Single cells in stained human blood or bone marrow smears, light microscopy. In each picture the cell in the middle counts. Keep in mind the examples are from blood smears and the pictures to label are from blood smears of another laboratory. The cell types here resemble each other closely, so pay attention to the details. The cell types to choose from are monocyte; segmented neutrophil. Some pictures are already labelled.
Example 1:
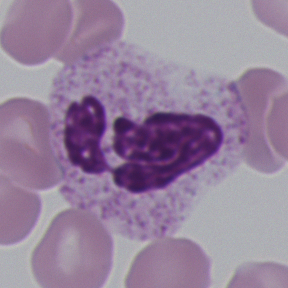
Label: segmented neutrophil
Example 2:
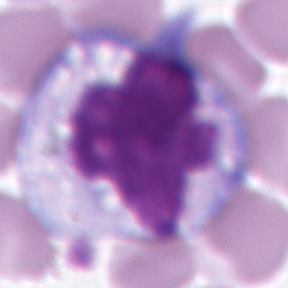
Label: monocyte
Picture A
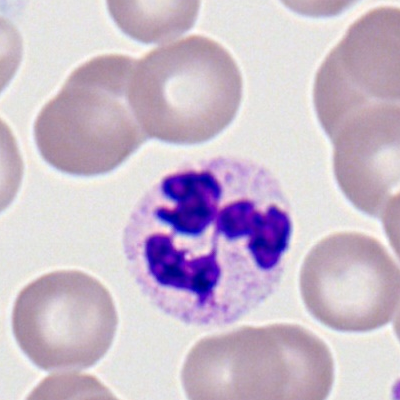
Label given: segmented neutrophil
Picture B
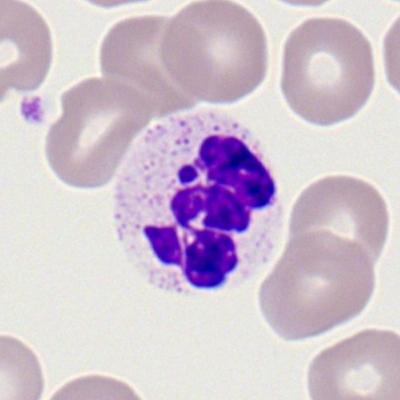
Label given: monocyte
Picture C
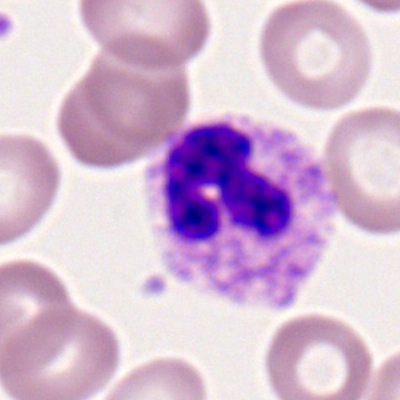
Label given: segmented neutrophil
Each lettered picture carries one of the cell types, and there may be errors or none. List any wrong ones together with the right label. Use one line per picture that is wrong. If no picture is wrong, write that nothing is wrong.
Wrong: B (monocyte); correct: segmented neutrophil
